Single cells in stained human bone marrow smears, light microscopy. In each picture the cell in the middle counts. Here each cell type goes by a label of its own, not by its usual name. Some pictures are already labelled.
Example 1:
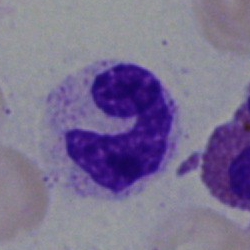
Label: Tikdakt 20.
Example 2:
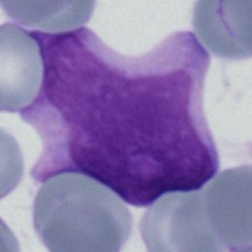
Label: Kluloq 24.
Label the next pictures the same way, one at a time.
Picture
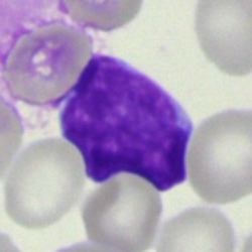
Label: Kluloq 24.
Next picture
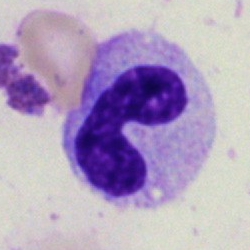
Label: Tikdakt 20.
